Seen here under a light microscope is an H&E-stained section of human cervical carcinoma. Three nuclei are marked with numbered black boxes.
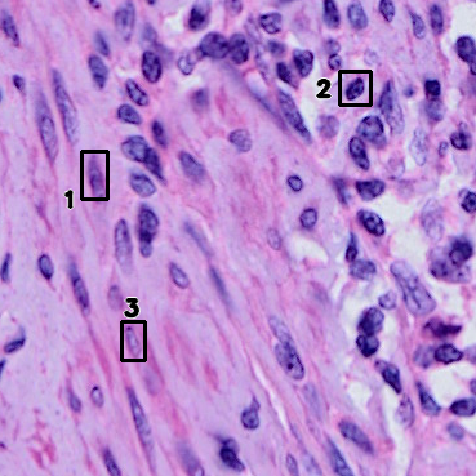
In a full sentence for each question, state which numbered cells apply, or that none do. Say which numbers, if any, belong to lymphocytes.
Of the numbered cells, only cell 2 is a lymphocyte.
